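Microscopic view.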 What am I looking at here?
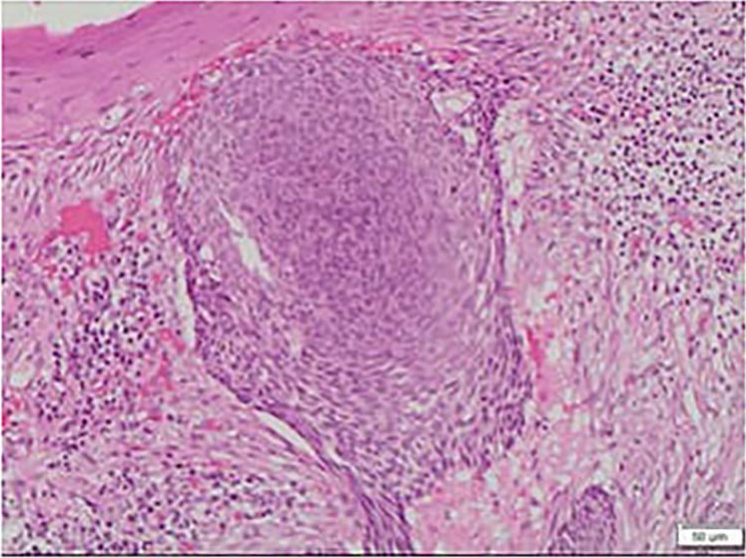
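A large, rounded nest of basaloid cells lies centred in the dermis, beneath a dense pink layer along the top of the field. The cells are tightly packed, with dark oval nuclei and scant cytoplasm, so the nest stains more purple than its surroundings. At the rim of the nest the nuclei are elongated and lined up side by side in a palisade. Narrow empty clefts separate the nest from the surrounding stroma, and a slit-like space also runs inside it. The surrounding connective tissue is loose and pink, with many small, dark, round cells crowded on both sides of the nest.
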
